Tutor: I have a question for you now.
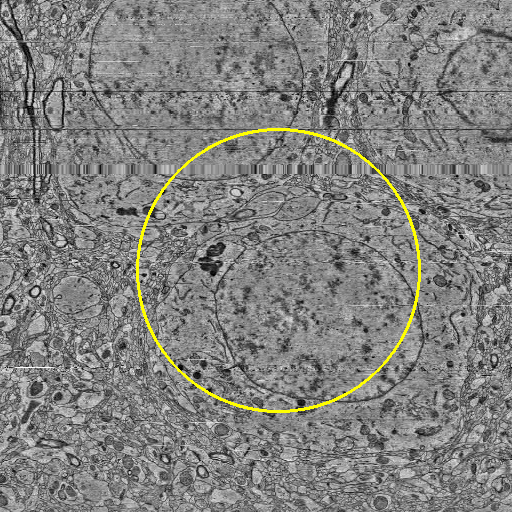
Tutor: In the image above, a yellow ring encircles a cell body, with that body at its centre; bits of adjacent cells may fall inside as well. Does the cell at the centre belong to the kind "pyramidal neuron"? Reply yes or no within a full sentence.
Yes, the cell at the centre of the yellow ring in the picture is of that kind.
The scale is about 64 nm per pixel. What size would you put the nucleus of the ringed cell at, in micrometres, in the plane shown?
The nucleus measures about 14 by 11 micrometres in this plane.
